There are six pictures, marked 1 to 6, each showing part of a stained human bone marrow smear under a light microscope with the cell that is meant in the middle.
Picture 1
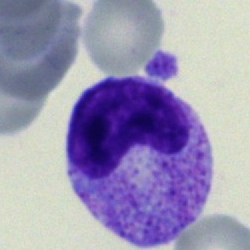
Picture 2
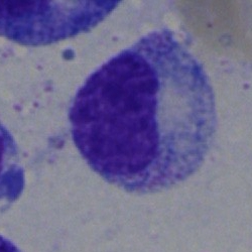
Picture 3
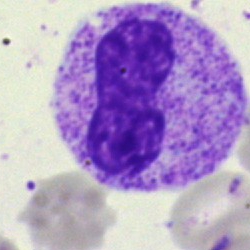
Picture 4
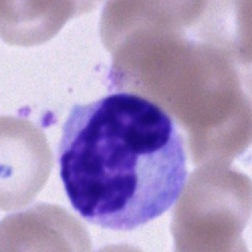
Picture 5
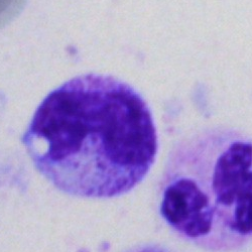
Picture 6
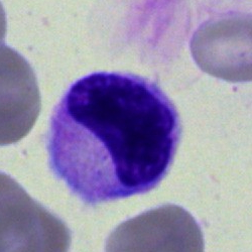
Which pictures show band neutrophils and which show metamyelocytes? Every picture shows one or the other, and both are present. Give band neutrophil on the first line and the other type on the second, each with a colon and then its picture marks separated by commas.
band neutrophil: 3, 5
metamyelocyte: 1, 2, 4, 6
